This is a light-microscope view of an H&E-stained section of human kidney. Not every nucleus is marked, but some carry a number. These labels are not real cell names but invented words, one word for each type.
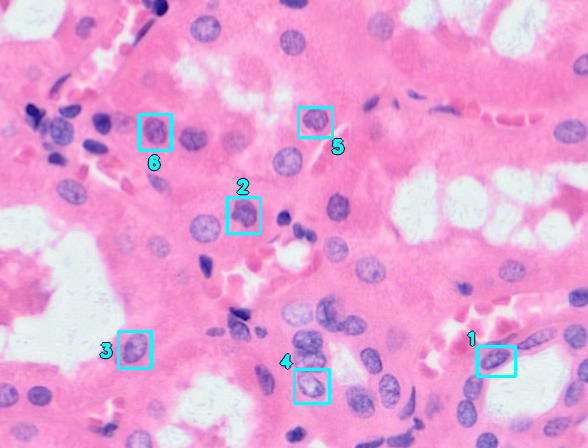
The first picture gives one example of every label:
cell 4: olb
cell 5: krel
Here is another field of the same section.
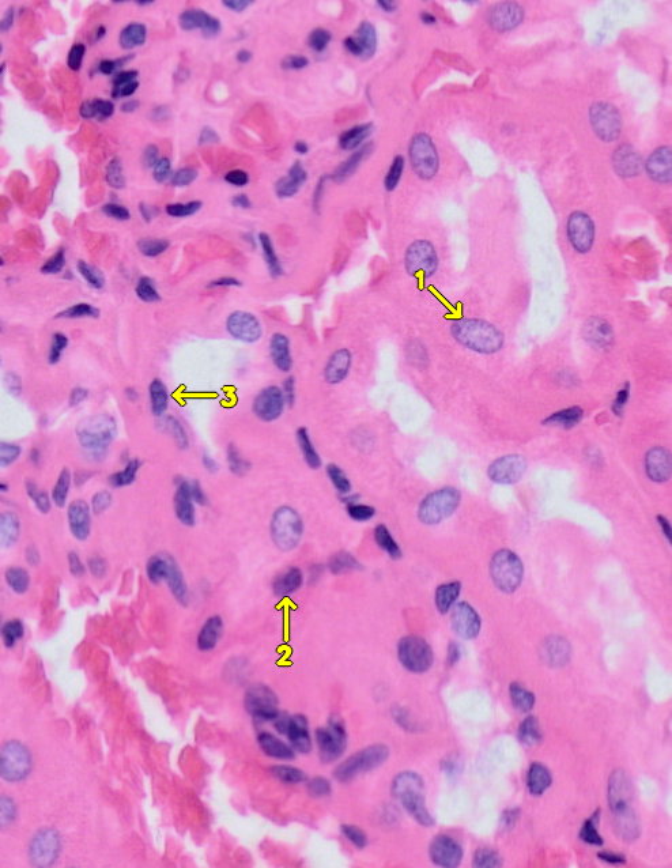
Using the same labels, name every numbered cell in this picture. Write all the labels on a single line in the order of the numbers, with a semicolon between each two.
krel; krel; olb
